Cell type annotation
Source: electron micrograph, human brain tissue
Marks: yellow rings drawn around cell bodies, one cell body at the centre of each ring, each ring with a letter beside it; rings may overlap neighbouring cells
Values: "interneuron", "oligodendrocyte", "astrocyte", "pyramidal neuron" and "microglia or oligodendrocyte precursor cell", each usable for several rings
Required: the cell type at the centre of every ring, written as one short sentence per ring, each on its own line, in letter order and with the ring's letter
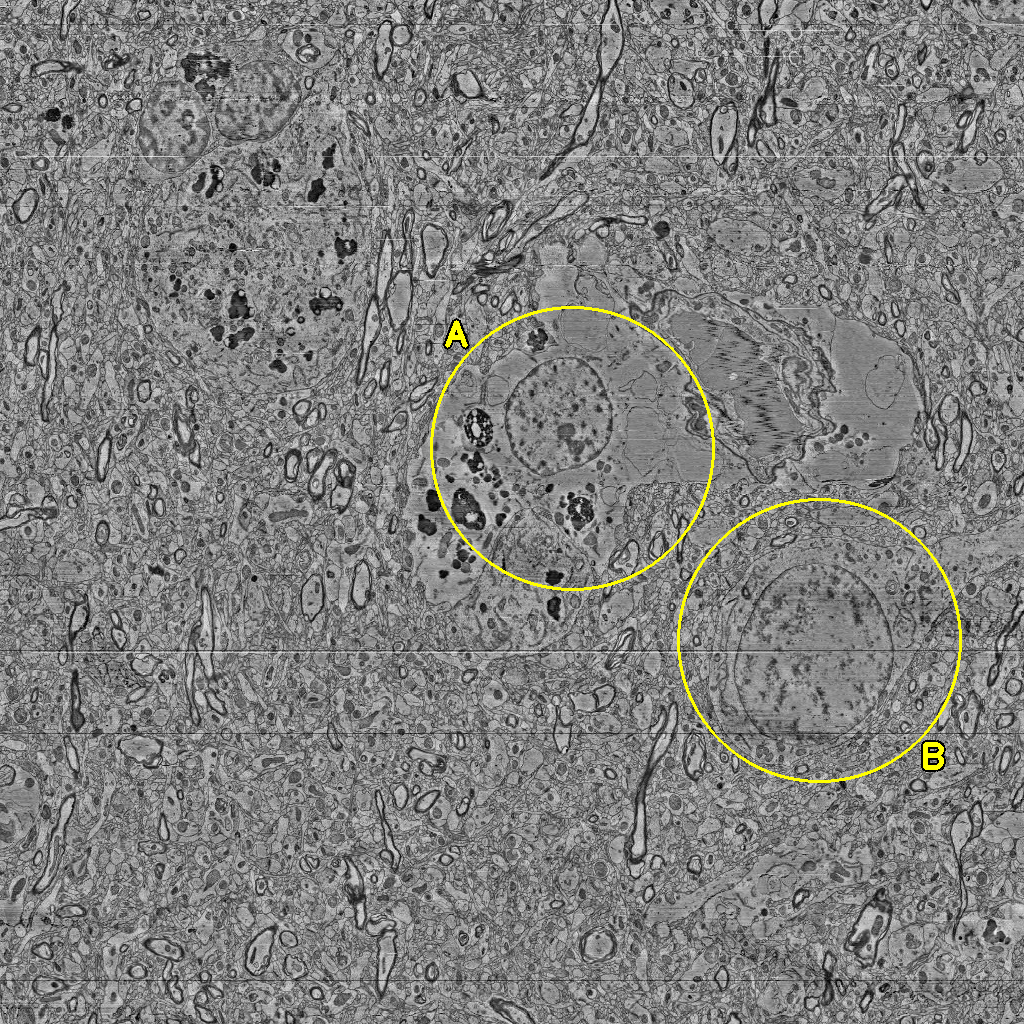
Ring A is annotated as an astrocyte.
Ring B is annotated as a pyramidal neuron.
